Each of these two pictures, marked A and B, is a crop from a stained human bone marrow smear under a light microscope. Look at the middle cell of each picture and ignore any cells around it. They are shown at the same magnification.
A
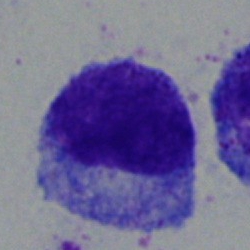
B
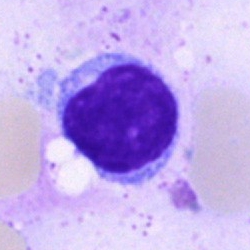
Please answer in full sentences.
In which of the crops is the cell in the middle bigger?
The cell in crop A is larger, with about 2 times the area of the one in crop B.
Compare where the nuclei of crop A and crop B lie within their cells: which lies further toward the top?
The nucleus in crop A lies further toward the top of its cell.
